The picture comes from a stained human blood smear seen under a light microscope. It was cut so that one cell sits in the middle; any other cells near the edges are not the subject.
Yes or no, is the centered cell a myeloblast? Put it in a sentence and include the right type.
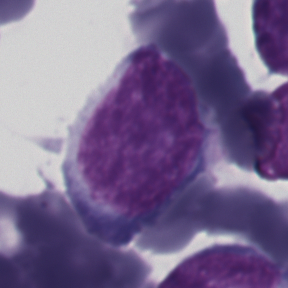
Yes, that is right: the middle cell is a myeloblast.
